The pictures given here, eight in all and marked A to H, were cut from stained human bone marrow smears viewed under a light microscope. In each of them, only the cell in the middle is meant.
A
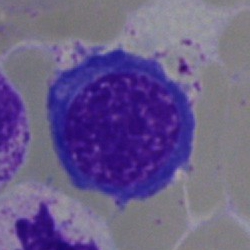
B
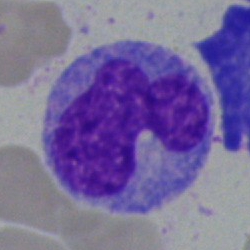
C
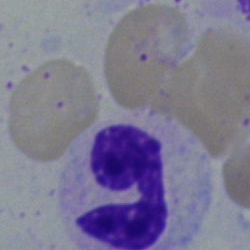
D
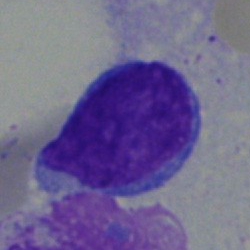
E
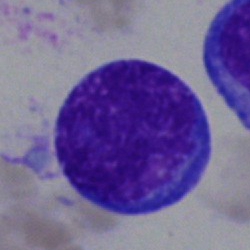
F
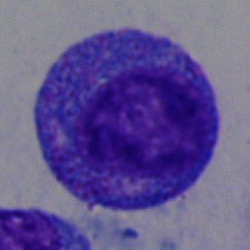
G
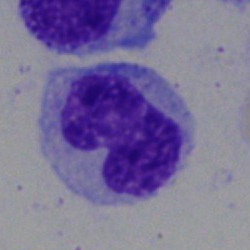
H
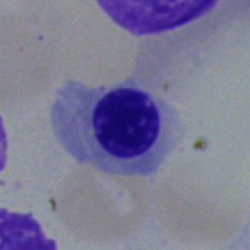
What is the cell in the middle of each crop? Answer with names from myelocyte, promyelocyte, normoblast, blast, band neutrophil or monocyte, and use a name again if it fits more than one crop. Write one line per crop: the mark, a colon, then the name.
A: normoblast
B: monocyte
C: band neutrophil
D: blast
E: blast
F: promyelocyte
G: band neutrophil
H: normoblast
